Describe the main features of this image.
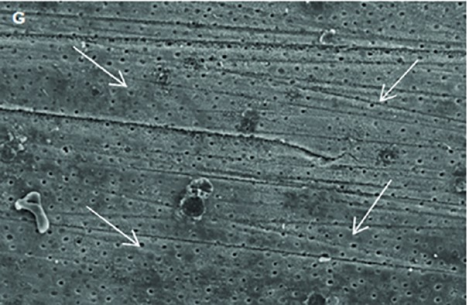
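This scanning electron micrograph looks down on a flat dentin surface, studded evenly with the small dark round openings of the dentinal tubules. The tubule orifices are open and spread across the whole field at fairly regular spacing. Fine parallel grooves run across the surface and a few small particles lie on it, but no covering layer hides the tubules.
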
